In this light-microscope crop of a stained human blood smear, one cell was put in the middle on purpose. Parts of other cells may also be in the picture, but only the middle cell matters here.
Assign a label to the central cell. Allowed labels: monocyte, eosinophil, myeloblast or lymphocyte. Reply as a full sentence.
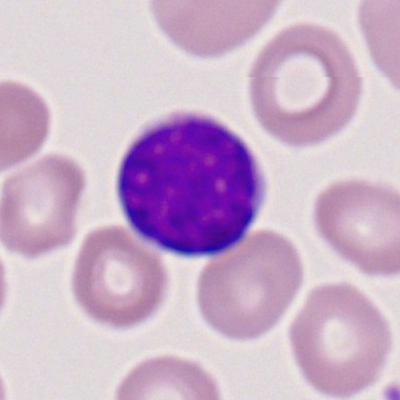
Whatever else lies nearby, the middle cell is a lymphocyte.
